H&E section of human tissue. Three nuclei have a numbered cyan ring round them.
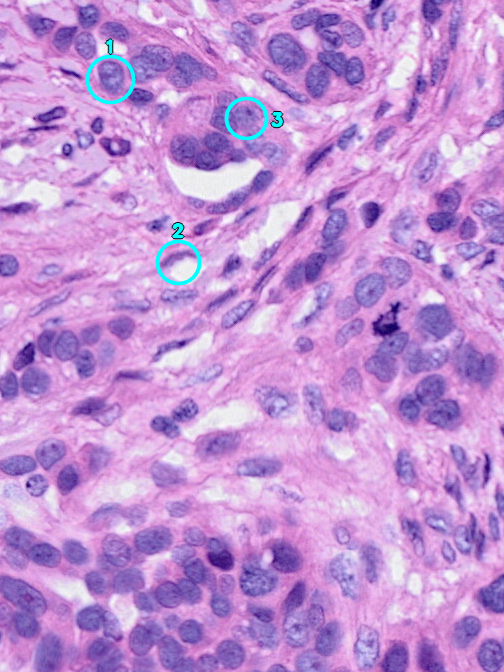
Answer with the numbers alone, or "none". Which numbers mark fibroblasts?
2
